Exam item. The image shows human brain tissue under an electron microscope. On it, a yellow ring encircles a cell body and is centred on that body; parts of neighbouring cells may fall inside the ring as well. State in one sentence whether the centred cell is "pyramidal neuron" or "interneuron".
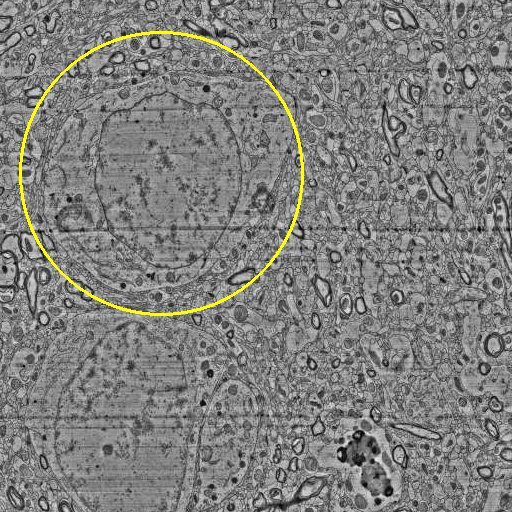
The cell body centred in the ring is a pyramidal neuron.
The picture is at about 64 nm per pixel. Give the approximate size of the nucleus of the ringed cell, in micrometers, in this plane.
About 11 micrometres across in this plane.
